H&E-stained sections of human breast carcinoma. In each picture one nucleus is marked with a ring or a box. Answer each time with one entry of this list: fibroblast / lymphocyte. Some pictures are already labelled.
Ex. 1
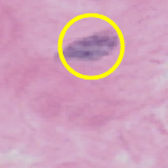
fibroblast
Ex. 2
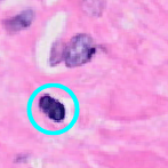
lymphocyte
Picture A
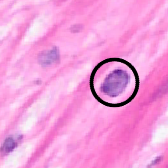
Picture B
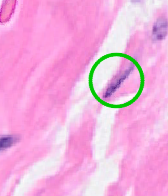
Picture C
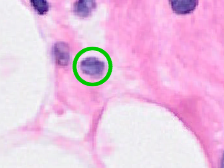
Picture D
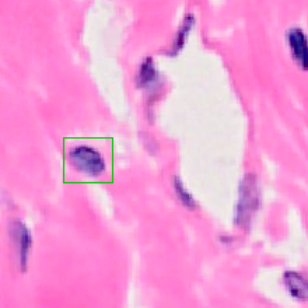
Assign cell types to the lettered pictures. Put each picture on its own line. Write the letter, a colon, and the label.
A: lymphocyte
B: fibroblast
C: lymphocyte
D: lymphocyte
